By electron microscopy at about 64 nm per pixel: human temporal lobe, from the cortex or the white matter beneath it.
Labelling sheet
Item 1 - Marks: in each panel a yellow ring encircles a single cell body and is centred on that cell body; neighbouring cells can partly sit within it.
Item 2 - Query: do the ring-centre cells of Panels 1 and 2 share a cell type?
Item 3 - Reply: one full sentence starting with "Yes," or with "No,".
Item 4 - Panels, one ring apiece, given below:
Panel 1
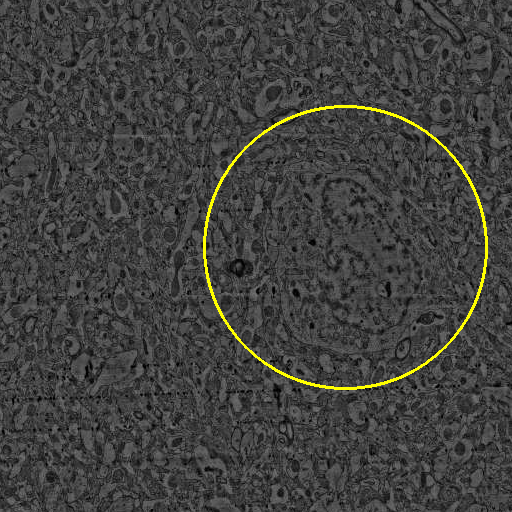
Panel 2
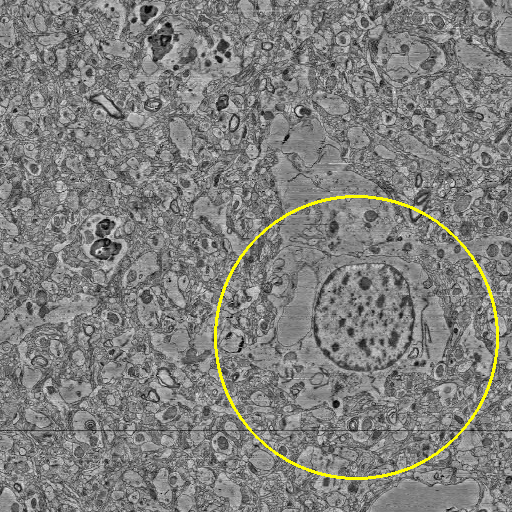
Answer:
No, Panel 1 and Panel 2 show two cell types at the centres of their rings.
